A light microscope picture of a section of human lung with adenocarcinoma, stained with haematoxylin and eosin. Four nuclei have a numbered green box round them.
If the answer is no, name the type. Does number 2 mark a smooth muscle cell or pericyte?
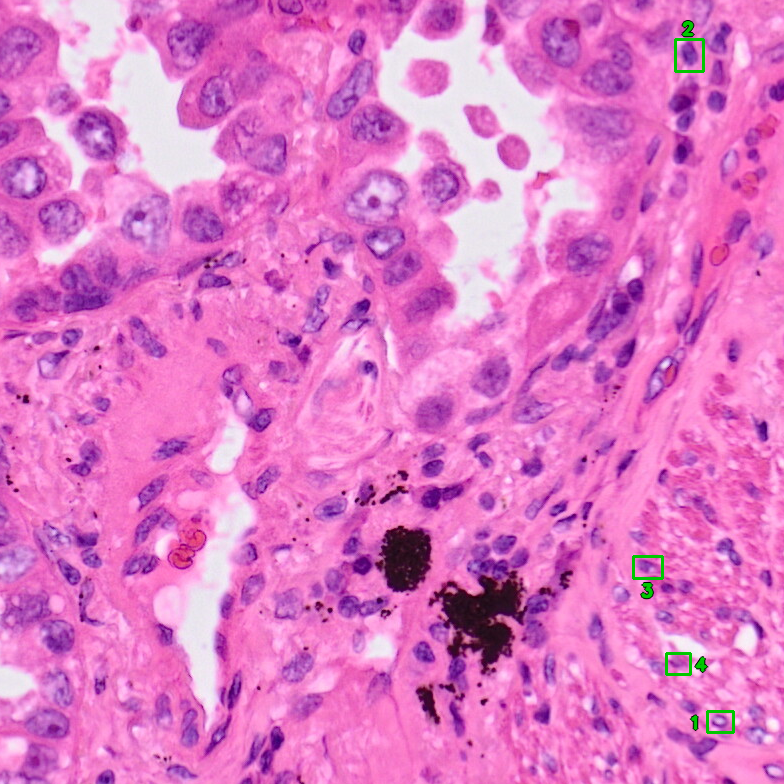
No, it is a lymphocyte.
